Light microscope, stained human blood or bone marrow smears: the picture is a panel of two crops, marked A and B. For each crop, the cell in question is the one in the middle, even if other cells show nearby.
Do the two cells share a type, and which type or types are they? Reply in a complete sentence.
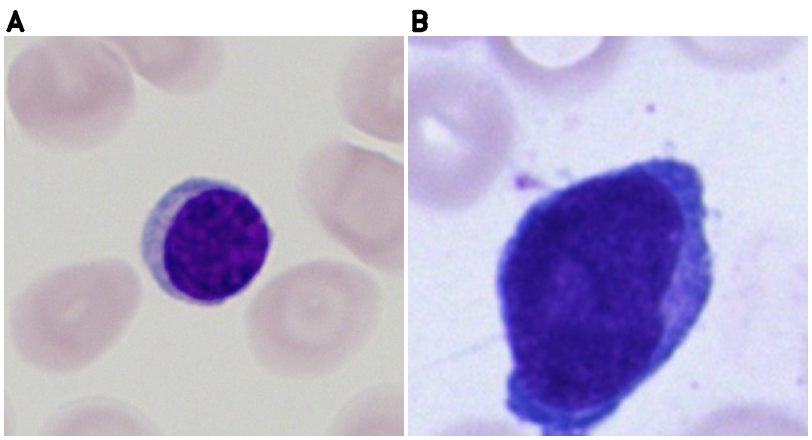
No, what crop A shows is a lymphocyte, and what crop B shows is a blast.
